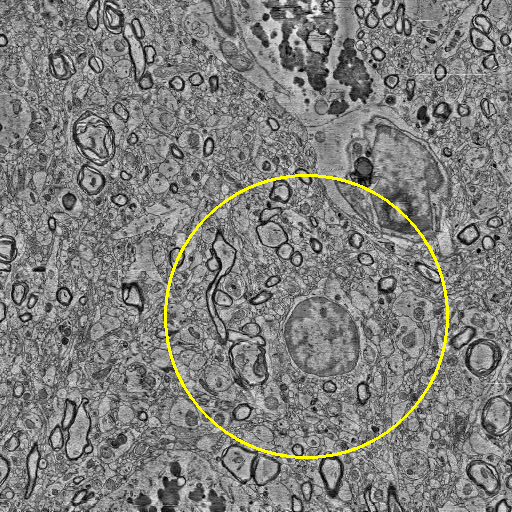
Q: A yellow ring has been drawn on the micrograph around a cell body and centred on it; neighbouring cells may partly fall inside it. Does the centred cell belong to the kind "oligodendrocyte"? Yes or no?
No, it belongs to another kind.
